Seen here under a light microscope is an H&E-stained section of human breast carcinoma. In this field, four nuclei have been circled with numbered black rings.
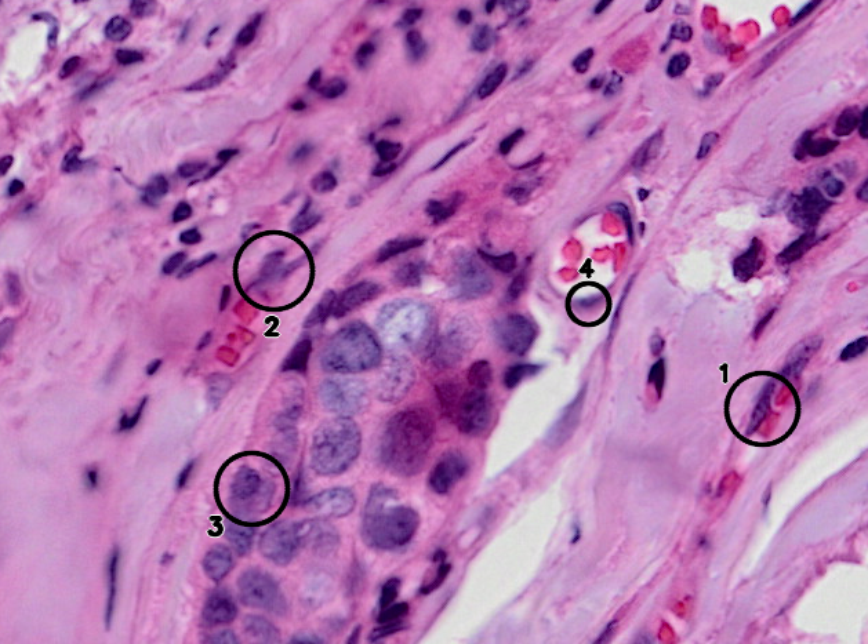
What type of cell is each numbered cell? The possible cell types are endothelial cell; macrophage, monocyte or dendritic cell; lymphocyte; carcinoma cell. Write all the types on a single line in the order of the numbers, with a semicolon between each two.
endothelial cell; endothelial cell; carcinoma cell; endothelial cell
